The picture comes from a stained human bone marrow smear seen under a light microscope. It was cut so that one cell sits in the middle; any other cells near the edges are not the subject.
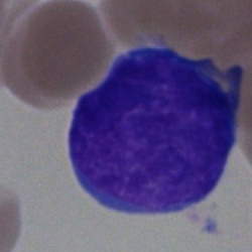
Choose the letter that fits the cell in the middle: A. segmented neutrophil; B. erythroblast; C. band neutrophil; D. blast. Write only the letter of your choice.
D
